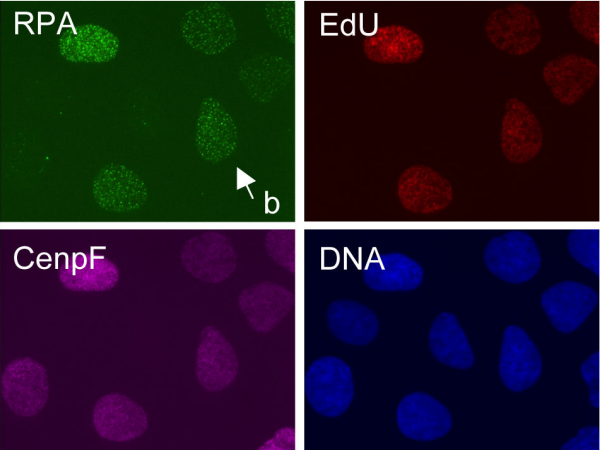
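Oval to rounded nuclei of cultured cells are shown in four matching channels, lying apart from one another. Several nuclei in the green channel are filled with many small, bright, discrete dots, and the same nuclei show a speckled red signal, while magenta signal fills some nuclei more strongly than others. The blue channel shows every nucleus with fairly even, finely textured staining.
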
